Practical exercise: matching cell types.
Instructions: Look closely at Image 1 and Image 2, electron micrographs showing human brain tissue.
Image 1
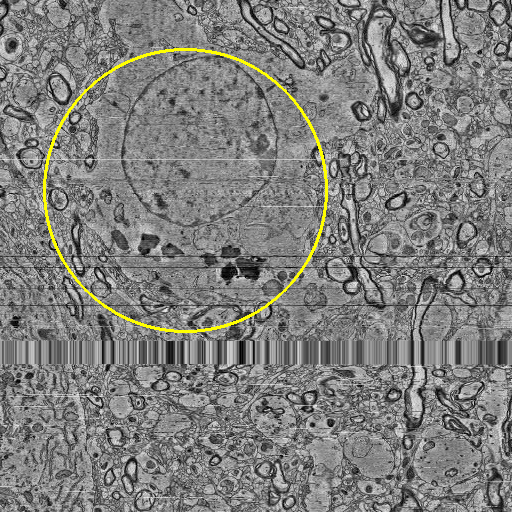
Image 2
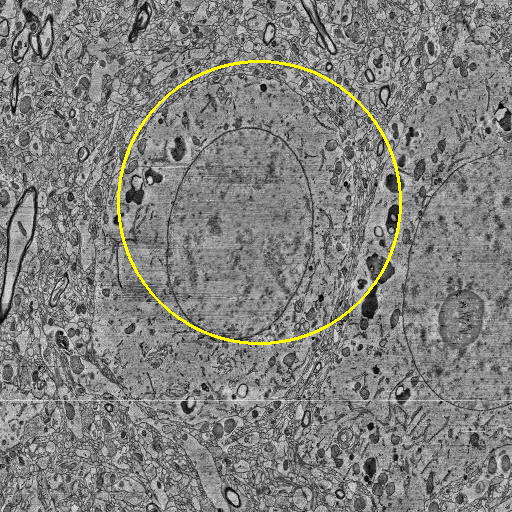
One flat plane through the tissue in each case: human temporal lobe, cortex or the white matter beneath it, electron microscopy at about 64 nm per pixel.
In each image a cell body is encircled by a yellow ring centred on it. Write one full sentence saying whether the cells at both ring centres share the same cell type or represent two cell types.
Across Image 1 and Image 2, the cells at the ring centres represent two cell types.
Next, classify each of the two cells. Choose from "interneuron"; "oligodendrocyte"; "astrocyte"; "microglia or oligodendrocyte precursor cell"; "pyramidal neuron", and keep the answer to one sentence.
In the first picture it is an astrocyte; in the second it is a pyramidal neuron.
